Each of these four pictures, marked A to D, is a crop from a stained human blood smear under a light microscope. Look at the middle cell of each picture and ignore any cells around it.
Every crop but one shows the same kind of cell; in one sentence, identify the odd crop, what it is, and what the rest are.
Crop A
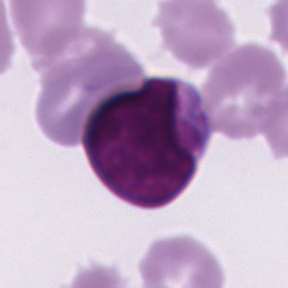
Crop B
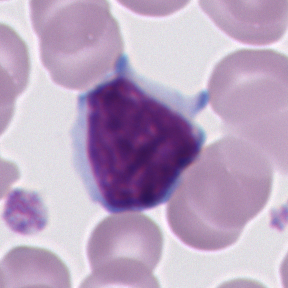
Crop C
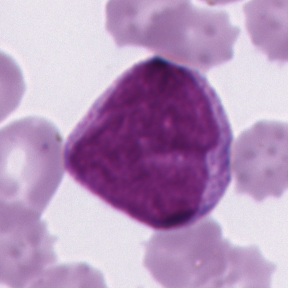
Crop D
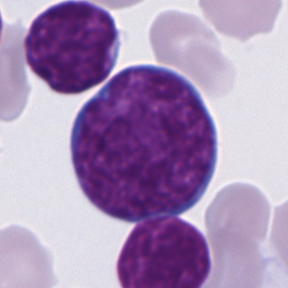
All the crops show myeloblasts except crop B, which shows a typical lymphocyte.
